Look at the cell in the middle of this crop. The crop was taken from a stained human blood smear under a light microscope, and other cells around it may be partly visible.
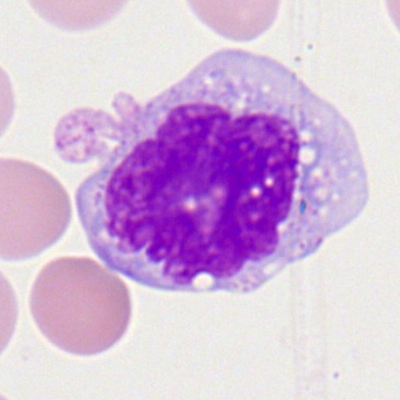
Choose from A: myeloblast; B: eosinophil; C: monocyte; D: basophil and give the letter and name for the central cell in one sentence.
Option C is the correct one; it names the central cell as a monocyte.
